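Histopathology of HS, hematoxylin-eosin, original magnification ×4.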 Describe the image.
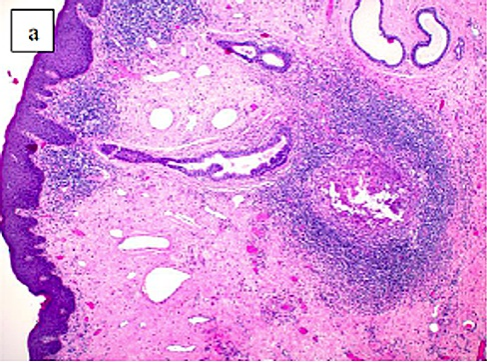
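This is skin at low power, with the surface epidermis as a purple band along the left edge and pale pink dermis beneath it. In the dermis lies a hair follicle whose lumen holds loose, flaky pink keratin, and around it sits a thick ring of dark purple inflammatory cells; smaller patches of the same dense infiltrate lie just under the epidermis. Scattered open, empty-looking spaces and elongated epithelium-lined channels run through the dermis.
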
